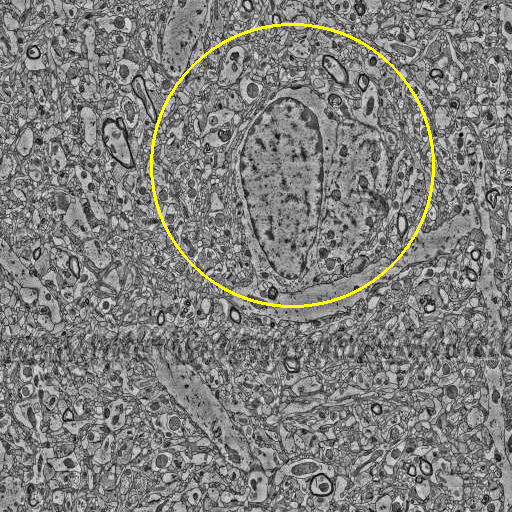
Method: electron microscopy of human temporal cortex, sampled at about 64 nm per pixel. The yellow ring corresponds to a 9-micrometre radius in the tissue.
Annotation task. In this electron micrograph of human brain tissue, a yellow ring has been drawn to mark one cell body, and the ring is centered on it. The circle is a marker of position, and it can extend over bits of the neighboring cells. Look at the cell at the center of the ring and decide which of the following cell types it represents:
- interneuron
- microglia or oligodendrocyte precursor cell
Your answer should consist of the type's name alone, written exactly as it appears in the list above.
microglia or oligodendrocyte precursor cell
